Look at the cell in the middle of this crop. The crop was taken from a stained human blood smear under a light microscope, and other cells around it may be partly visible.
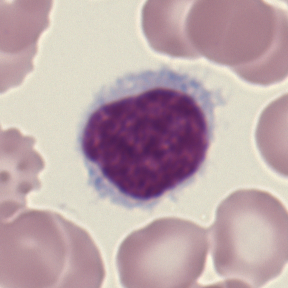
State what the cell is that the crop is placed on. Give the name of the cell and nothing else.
hairy cell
